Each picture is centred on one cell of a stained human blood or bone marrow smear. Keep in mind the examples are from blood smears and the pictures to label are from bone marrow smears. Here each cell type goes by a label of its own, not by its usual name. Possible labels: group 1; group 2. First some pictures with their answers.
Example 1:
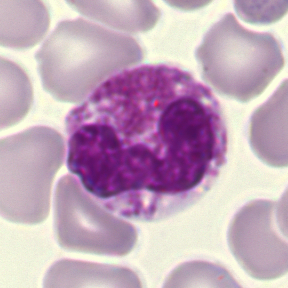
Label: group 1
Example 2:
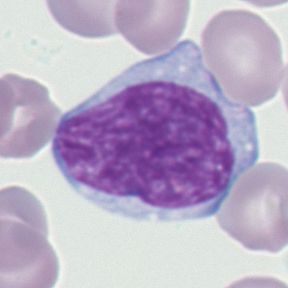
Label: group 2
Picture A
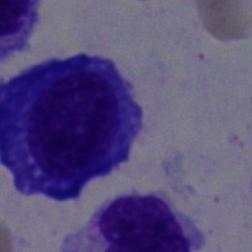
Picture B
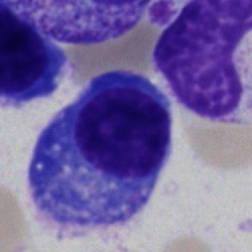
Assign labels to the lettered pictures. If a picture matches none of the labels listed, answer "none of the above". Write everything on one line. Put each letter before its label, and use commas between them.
A none of the above, B none of the above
